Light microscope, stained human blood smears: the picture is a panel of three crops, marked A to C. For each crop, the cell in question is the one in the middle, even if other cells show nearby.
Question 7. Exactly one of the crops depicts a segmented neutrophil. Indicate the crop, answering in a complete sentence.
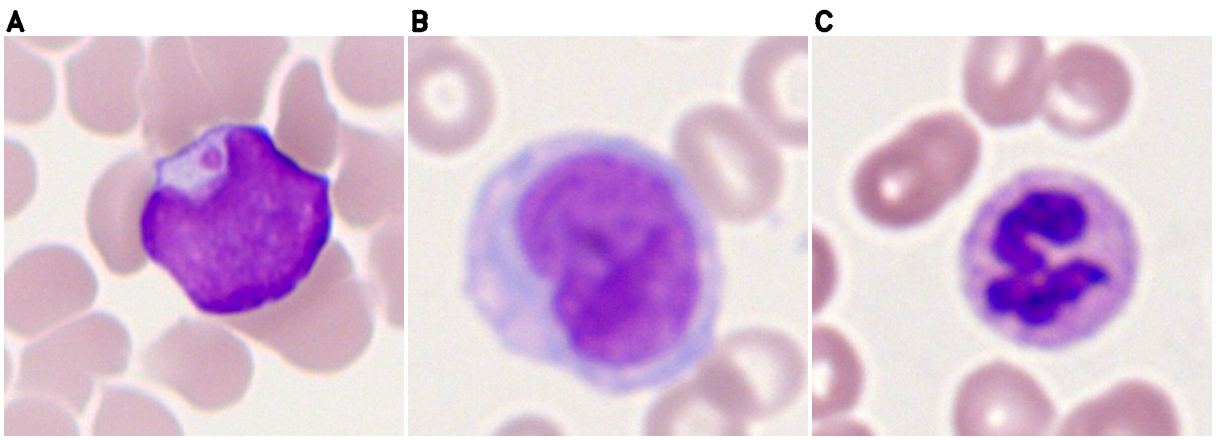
The crop marked C is the one in which a segmented neutrophil is shown.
